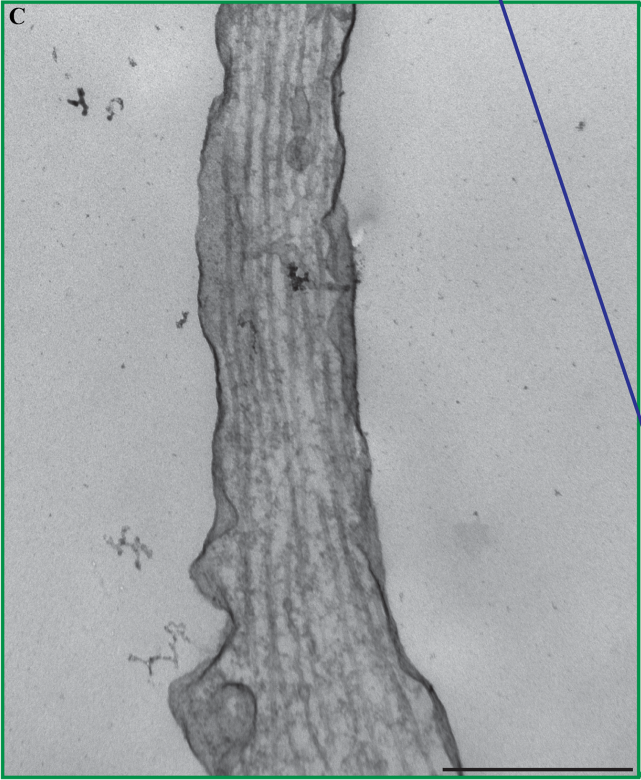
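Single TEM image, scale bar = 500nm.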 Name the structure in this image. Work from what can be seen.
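Cytoskeletal structures. Many thin dark lines run parallel along the length of the process.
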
